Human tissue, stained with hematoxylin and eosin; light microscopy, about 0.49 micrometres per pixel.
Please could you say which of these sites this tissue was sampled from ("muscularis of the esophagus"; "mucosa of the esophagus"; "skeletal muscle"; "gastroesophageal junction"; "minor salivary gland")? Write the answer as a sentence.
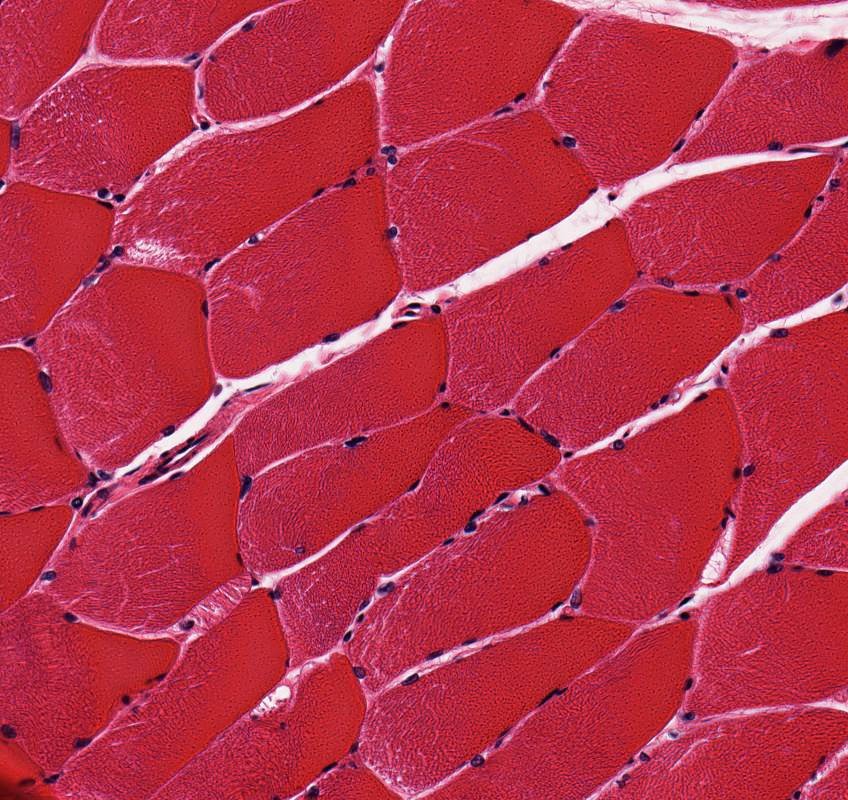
The site this tissue was sampled from is the skeletal muscle.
